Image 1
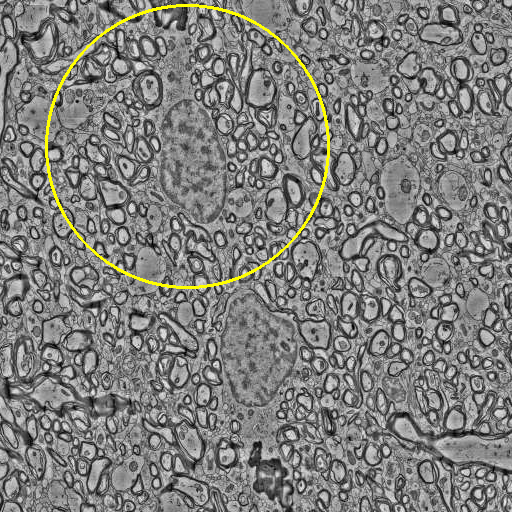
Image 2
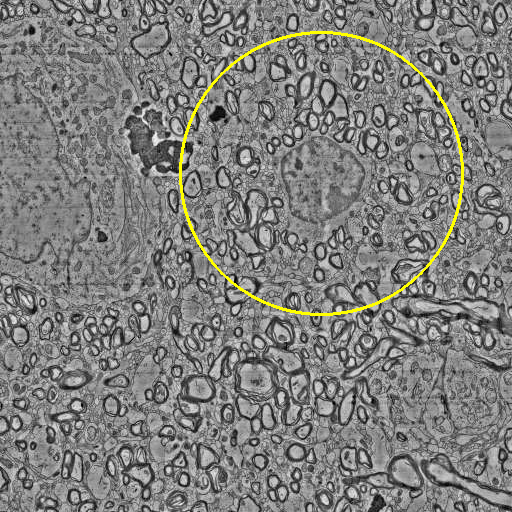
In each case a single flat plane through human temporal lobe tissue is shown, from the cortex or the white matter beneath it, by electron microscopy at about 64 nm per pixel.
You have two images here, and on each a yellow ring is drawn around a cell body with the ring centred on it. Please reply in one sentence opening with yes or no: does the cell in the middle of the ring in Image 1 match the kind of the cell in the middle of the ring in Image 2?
Yes, the two images show cells of one kind at the centres of their rings.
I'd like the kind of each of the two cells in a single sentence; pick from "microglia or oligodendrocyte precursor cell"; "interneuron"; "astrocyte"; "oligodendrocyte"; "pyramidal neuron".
The cell at the ring centre is an oligodendrocyte in both pictures.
